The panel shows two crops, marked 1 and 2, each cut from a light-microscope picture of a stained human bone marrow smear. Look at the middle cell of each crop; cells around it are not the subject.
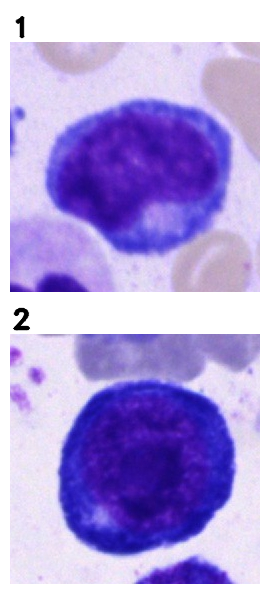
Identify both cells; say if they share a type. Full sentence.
Yes, proerythroblasts are what the two crops show.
